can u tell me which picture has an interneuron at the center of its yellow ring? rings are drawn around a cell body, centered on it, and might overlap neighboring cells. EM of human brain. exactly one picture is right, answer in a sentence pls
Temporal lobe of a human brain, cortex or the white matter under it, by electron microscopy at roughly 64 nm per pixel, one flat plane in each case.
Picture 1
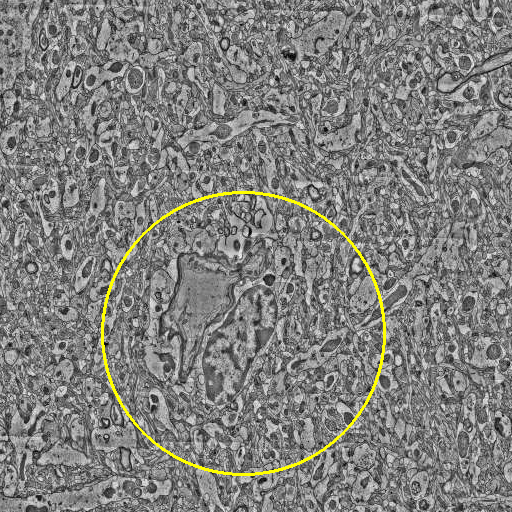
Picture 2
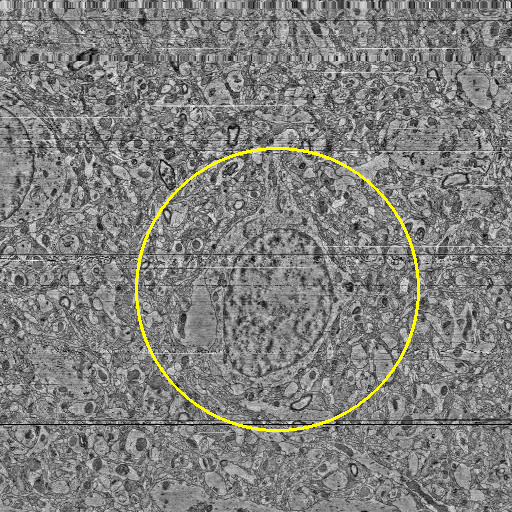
Picture 2 is the one.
